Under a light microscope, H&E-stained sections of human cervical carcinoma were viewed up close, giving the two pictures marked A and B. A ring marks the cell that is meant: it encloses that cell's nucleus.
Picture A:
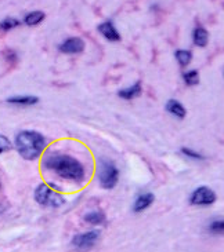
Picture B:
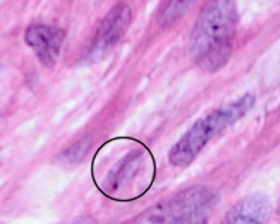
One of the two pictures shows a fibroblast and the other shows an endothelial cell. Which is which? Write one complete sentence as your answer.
It is picture A that shows an endothelial cell, and picture B that shows a fibroblast.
